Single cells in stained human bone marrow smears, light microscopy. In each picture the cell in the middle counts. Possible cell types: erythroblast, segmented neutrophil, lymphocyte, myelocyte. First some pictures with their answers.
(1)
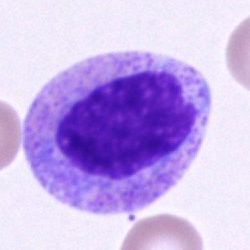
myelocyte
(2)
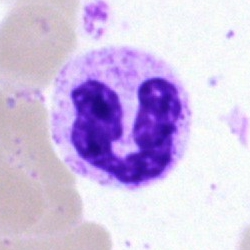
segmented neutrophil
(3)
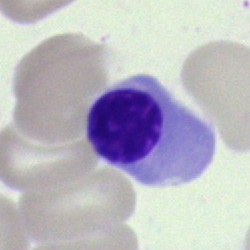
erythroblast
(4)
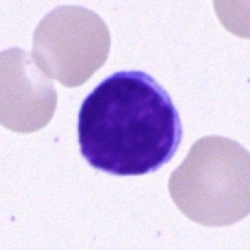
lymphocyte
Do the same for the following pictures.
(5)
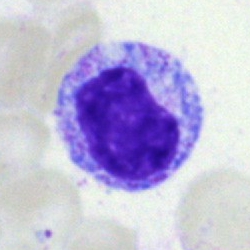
myelocyte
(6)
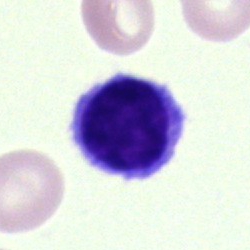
lymphocyte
